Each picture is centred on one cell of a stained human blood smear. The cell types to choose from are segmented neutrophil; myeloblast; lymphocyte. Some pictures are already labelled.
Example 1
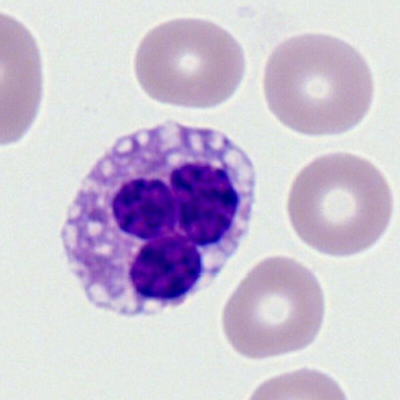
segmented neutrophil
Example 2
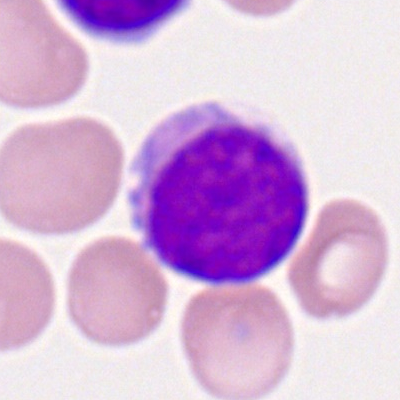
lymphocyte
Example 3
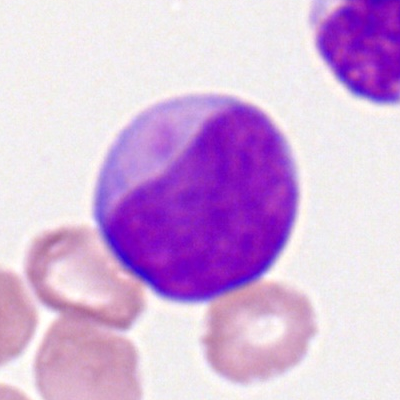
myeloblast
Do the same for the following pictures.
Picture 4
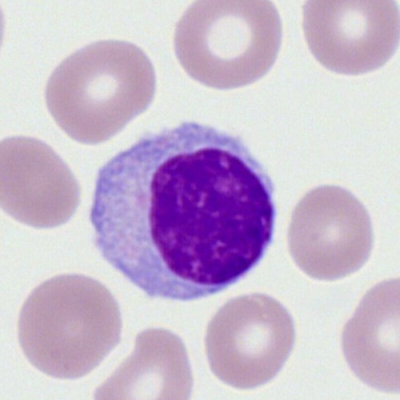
lymphocyte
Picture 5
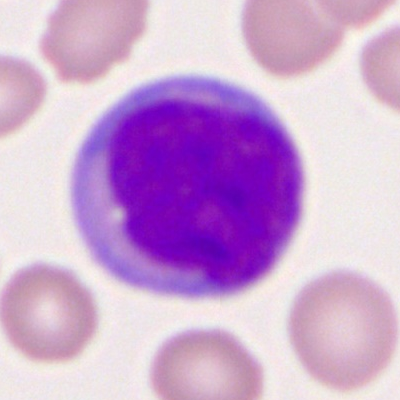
myeloblast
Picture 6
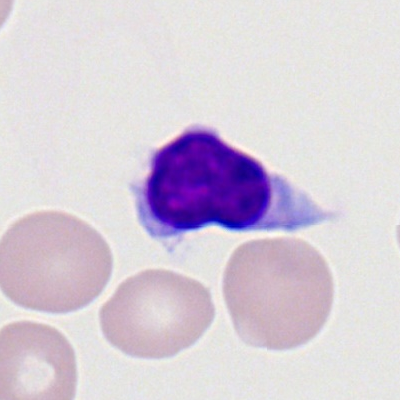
lymphocyte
